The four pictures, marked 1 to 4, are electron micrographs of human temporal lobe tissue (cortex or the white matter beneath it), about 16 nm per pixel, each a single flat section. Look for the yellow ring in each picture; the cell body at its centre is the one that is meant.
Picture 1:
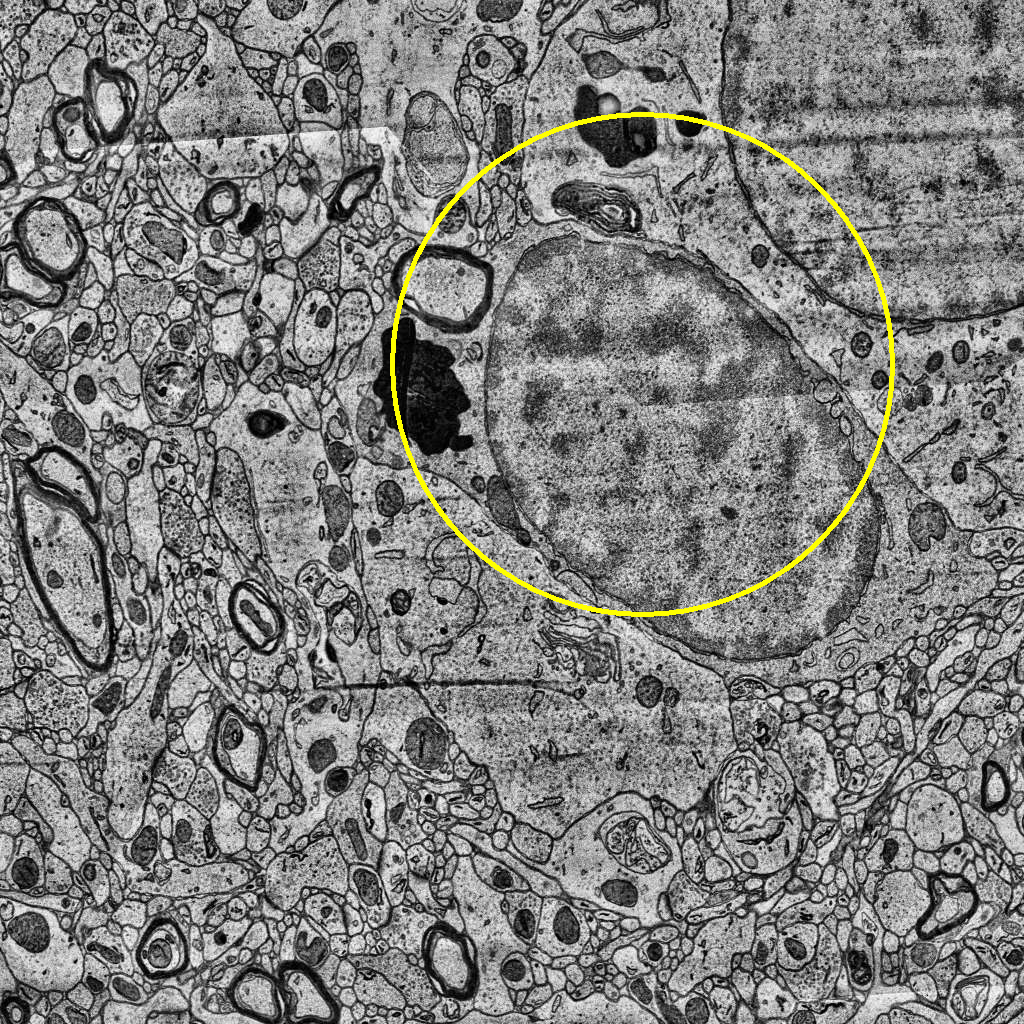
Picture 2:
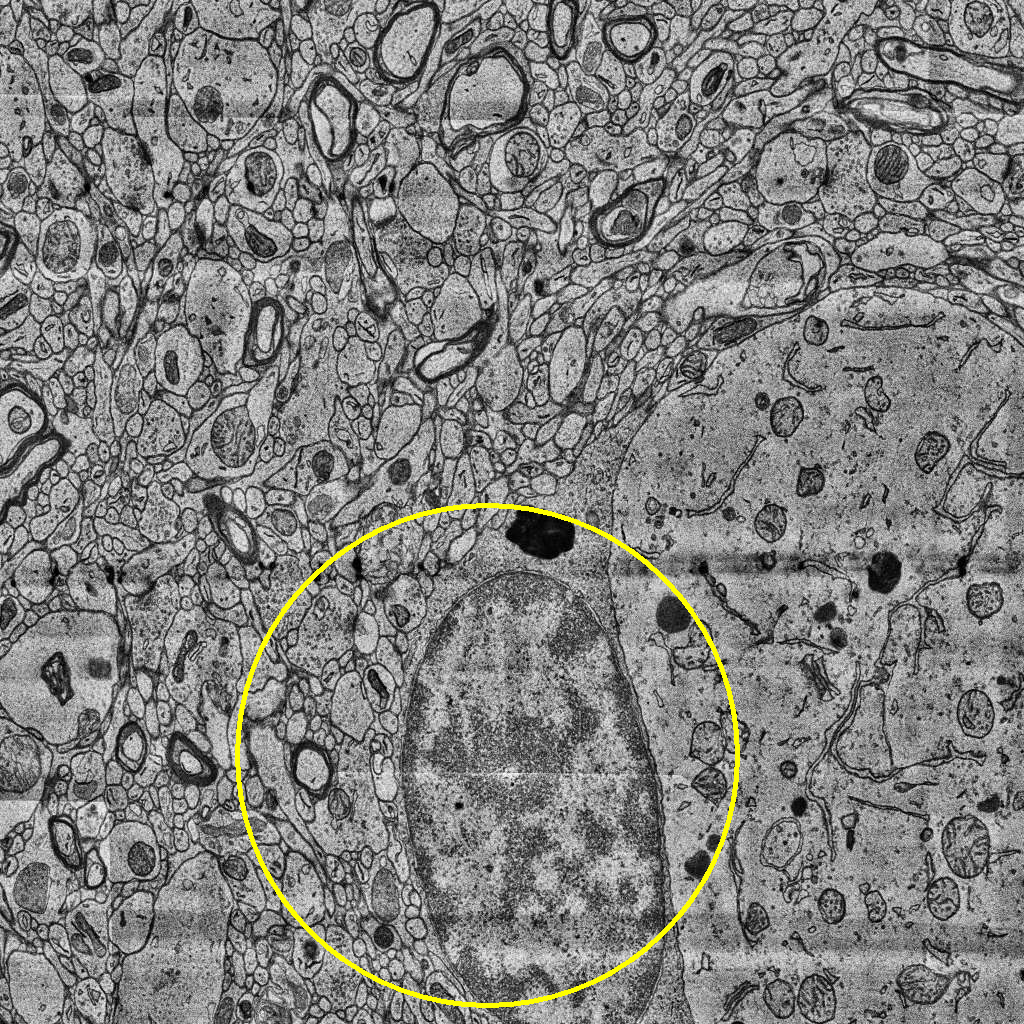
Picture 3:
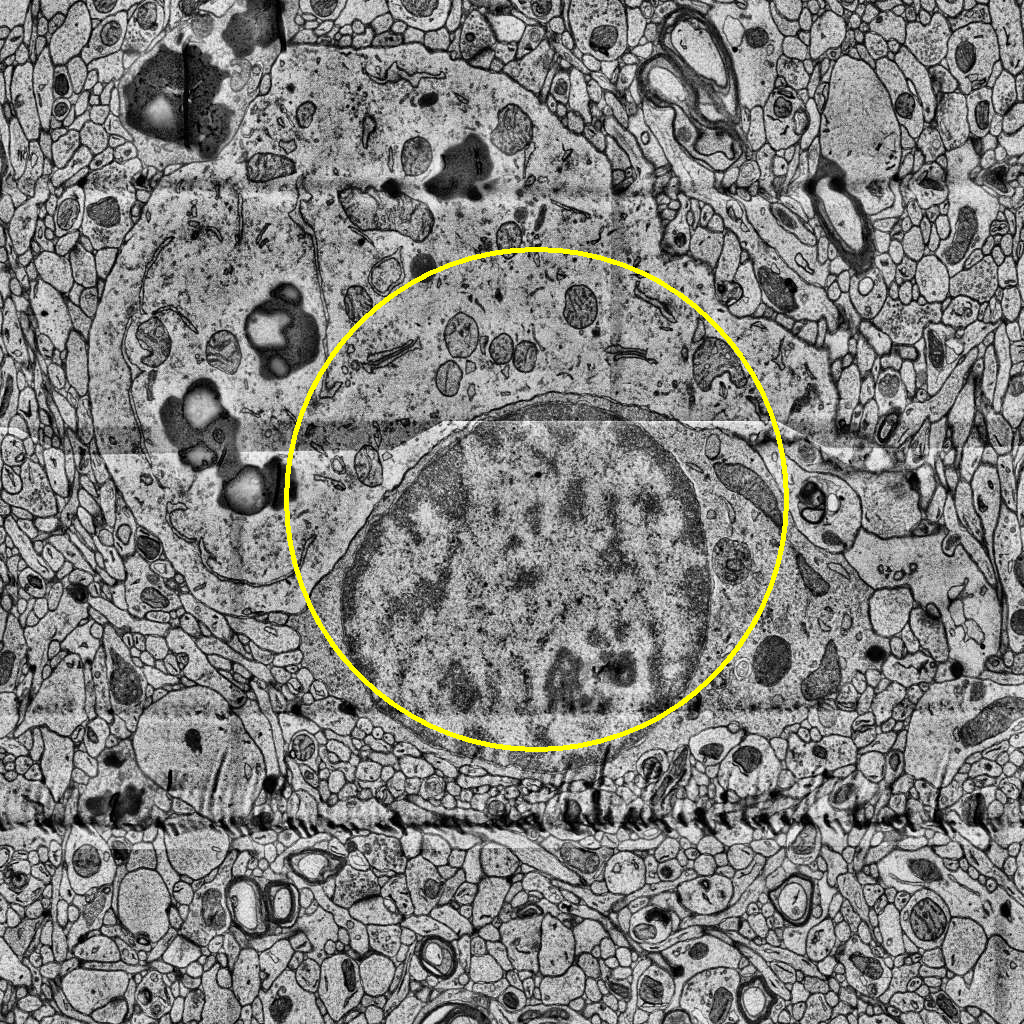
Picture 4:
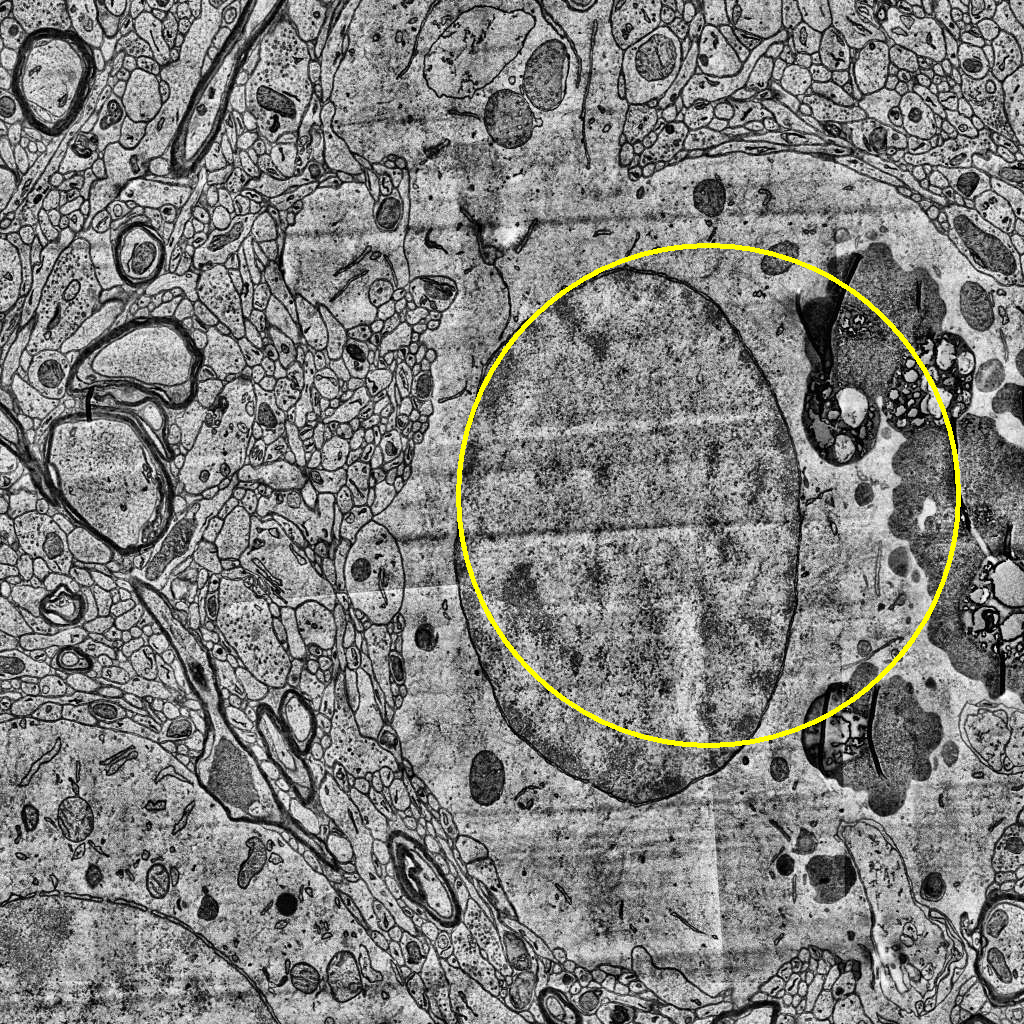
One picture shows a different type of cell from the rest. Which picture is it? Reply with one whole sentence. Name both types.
Unlike the rest, which show oligodendrocytes, picture 4 shows an astrocyte.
